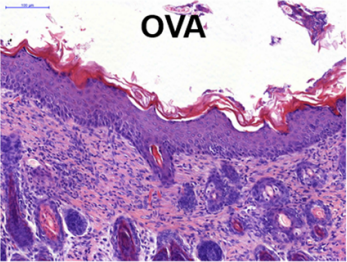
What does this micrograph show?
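This section of skin shows a markedly thickened epidermis and a densely cellular dermis. The epidermis forms a broad purple band of many layers of keratinocytes, topped by a thick, bright pink-red layer of keratin. Beneath it the dermis is crowded with small, dark-purple nuclei of infiltrating cells lying between pale pink collagen fibres. Hair follicles in cross and oblique section sit deeper in the dermis, surrounded by this cellular infiltrate.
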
